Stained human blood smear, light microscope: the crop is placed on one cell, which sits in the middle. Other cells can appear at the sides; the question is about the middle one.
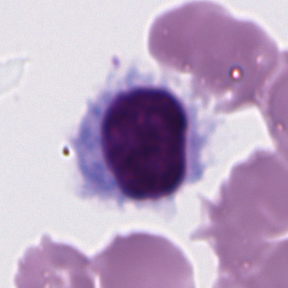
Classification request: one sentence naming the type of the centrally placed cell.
The central cell in this smear crop is a hairy cell.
